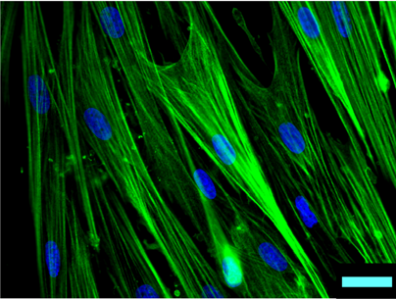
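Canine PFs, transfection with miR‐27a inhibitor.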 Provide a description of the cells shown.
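Elongated, spindle-shaped cells lie side by side in a roughly parallel, overlapping arrangement. Their cytoplasm is crossed by many bright green, straight filament bundles that run along the long axis of each cell. Each cell has a single oval blue nucleus, elongated in the same direction as the cell body, lying among the green fibres. One small rounded cell body shows a bright, diffuse green fill.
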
